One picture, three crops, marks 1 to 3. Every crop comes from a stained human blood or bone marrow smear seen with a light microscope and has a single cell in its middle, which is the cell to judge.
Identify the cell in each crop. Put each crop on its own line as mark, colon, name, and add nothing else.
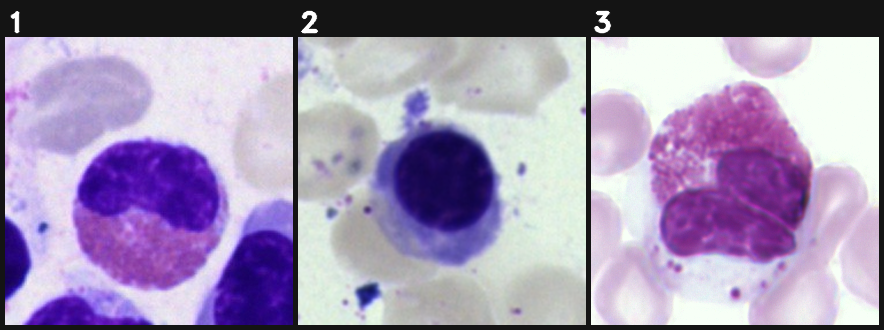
1: eosinophil
2: erythroblast
3: eosinophil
